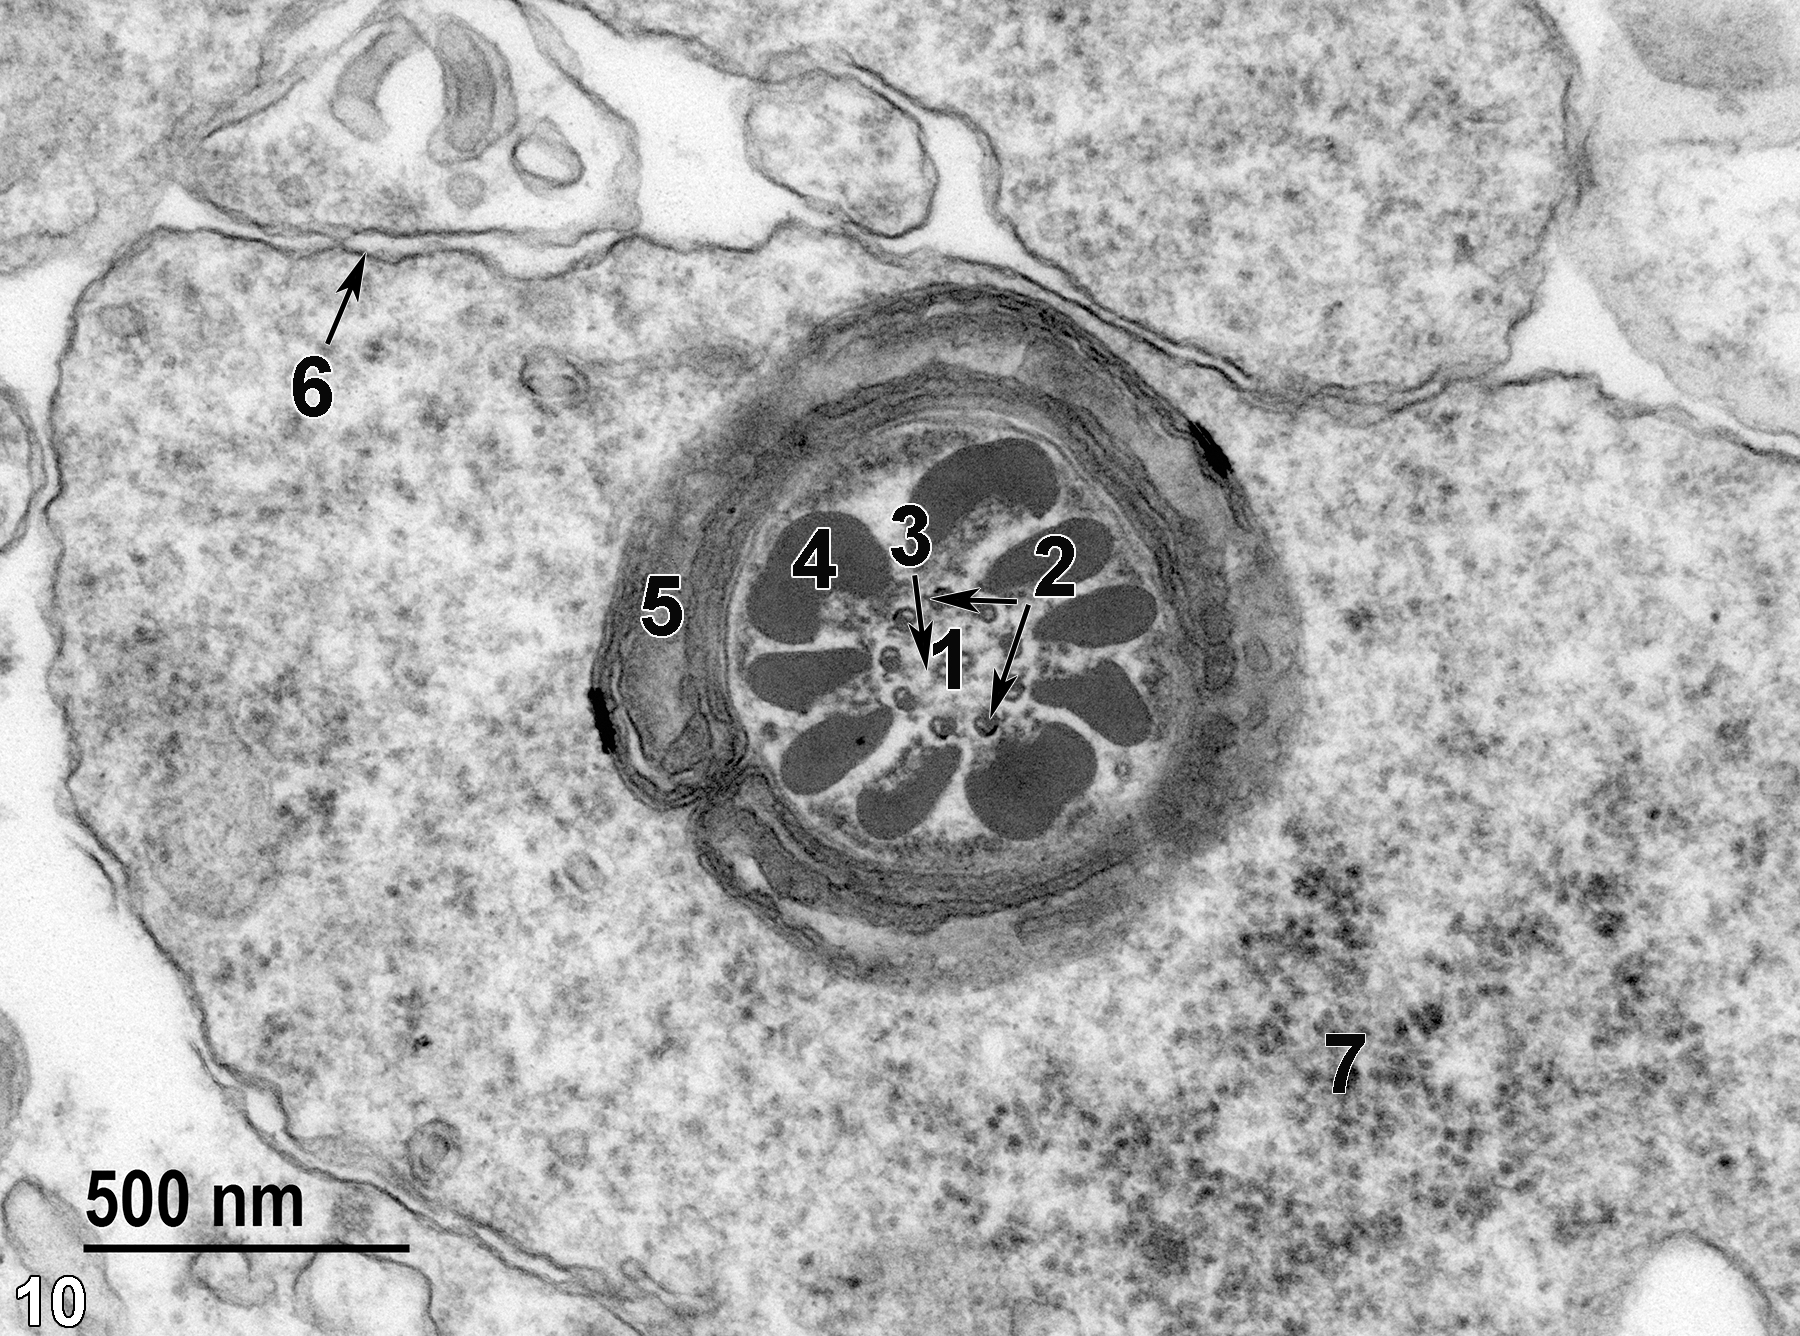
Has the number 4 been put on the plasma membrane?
No, 4 marks the outer dense fibrils.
